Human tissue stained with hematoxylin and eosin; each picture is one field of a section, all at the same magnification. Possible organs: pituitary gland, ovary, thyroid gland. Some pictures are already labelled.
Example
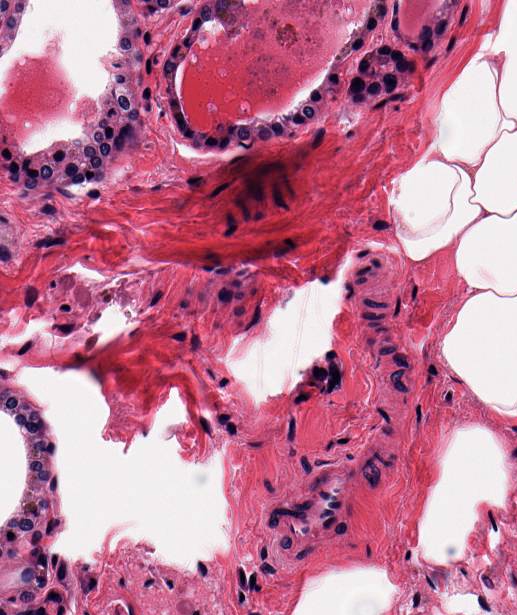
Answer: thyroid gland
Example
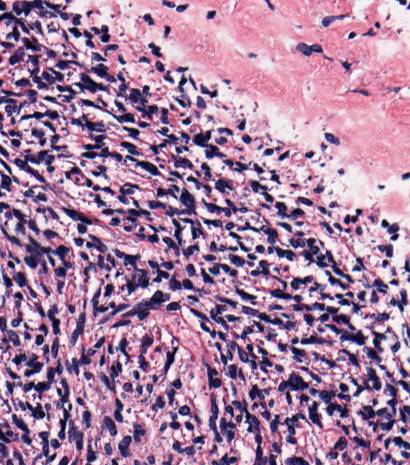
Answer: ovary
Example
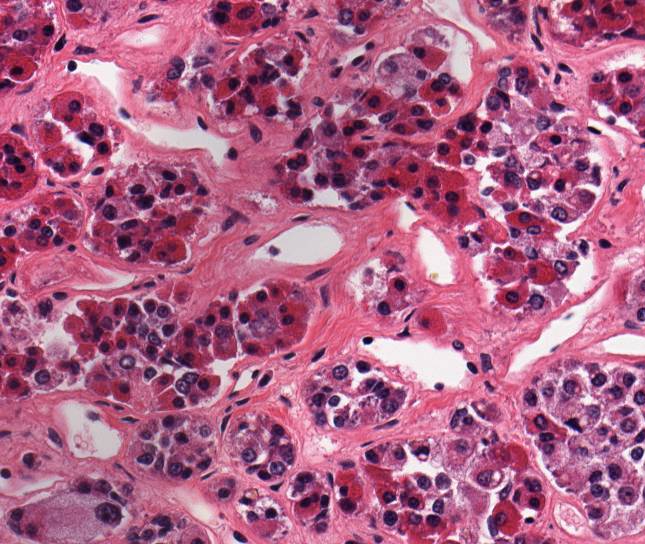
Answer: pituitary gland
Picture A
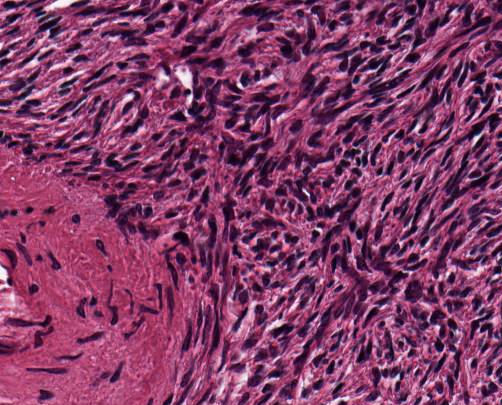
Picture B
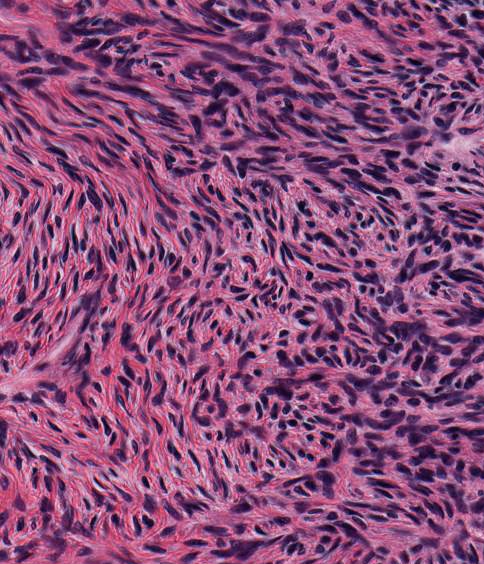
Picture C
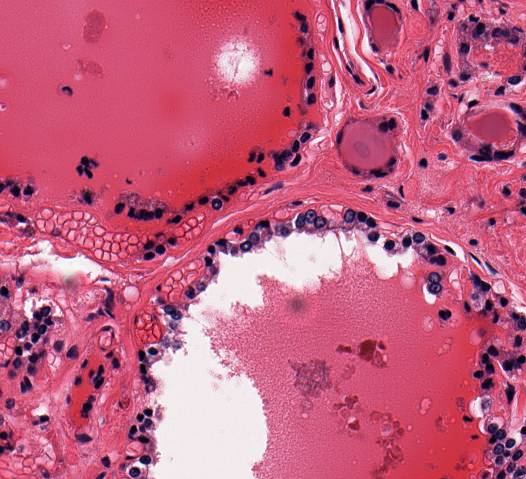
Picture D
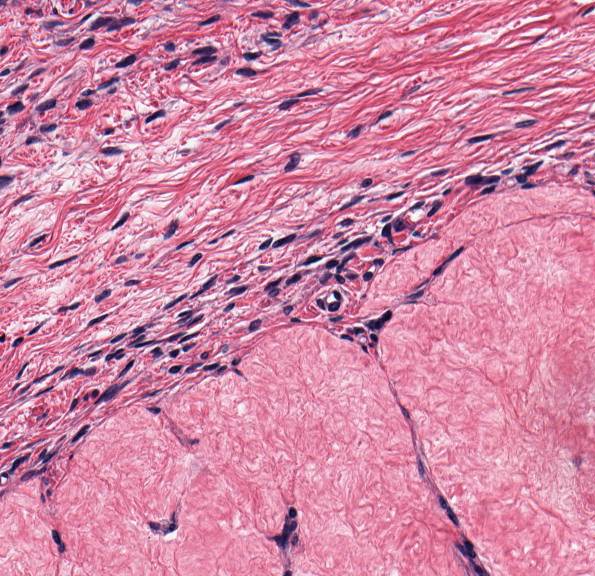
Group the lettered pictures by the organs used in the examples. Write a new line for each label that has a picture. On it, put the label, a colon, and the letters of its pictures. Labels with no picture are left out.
ovary: A, B, D
thyroid gland: C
